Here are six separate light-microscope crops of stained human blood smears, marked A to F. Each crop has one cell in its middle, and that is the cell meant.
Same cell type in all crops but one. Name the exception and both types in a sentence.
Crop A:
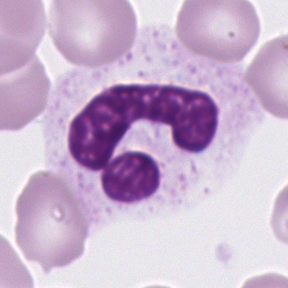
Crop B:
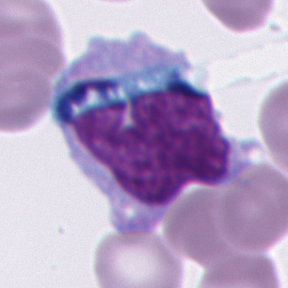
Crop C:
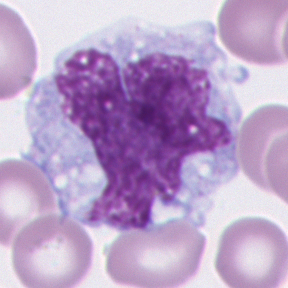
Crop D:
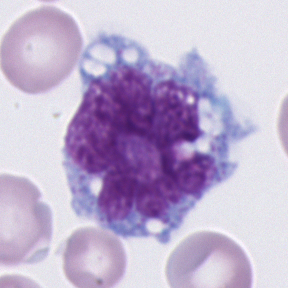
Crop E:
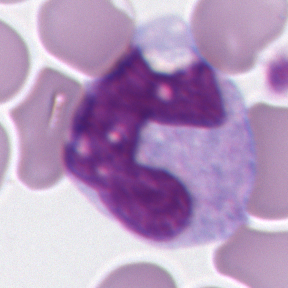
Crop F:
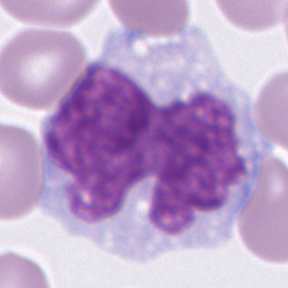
The outlier here is crop A, which is a segmented neutrophil, while the remainder show monocytes.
